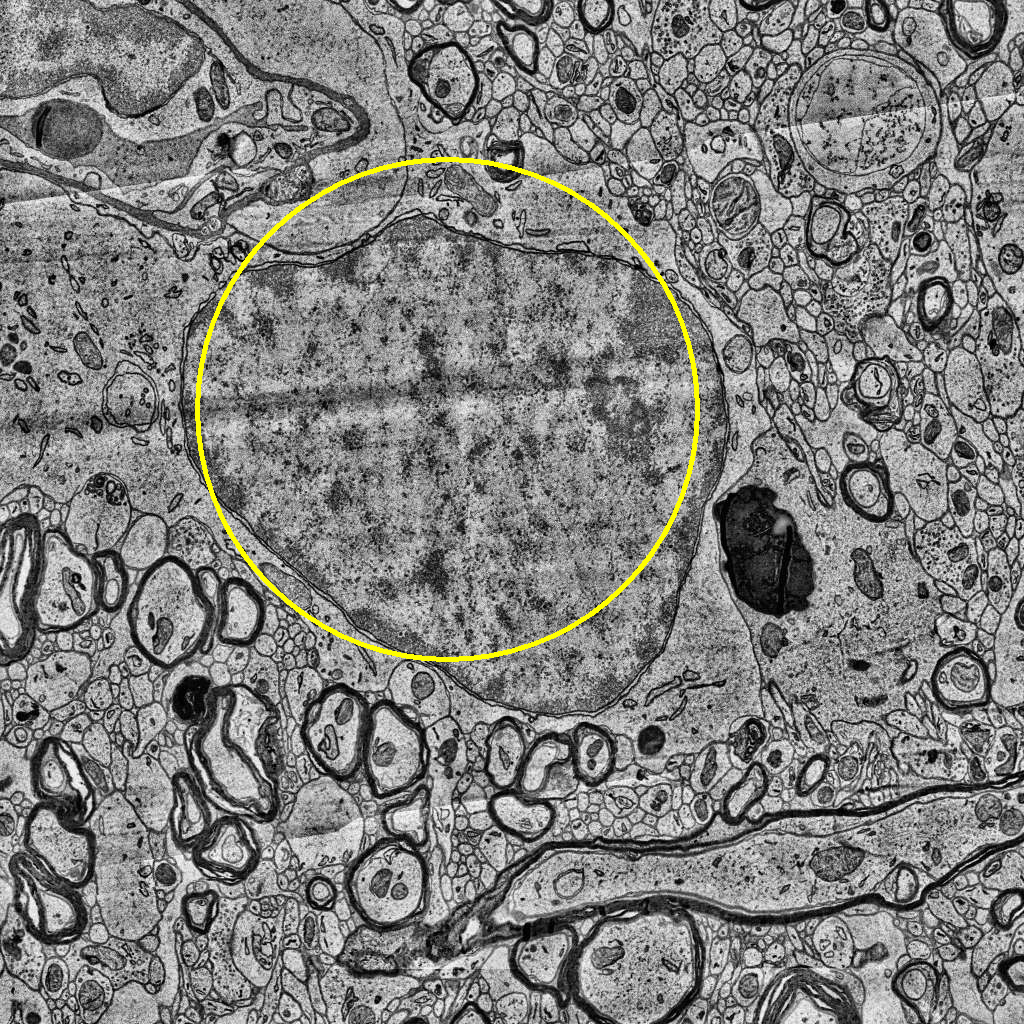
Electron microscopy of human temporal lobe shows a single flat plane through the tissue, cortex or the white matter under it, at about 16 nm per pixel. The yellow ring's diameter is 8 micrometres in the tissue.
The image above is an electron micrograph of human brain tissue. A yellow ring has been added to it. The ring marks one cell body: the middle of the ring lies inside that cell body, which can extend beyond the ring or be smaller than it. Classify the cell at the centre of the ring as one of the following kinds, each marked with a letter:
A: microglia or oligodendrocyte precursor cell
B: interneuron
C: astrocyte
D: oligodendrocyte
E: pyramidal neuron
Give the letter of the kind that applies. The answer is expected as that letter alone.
A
